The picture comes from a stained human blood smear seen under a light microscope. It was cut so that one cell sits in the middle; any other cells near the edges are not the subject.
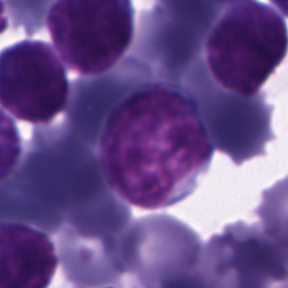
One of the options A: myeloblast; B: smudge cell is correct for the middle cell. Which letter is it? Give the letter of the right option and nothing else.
A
